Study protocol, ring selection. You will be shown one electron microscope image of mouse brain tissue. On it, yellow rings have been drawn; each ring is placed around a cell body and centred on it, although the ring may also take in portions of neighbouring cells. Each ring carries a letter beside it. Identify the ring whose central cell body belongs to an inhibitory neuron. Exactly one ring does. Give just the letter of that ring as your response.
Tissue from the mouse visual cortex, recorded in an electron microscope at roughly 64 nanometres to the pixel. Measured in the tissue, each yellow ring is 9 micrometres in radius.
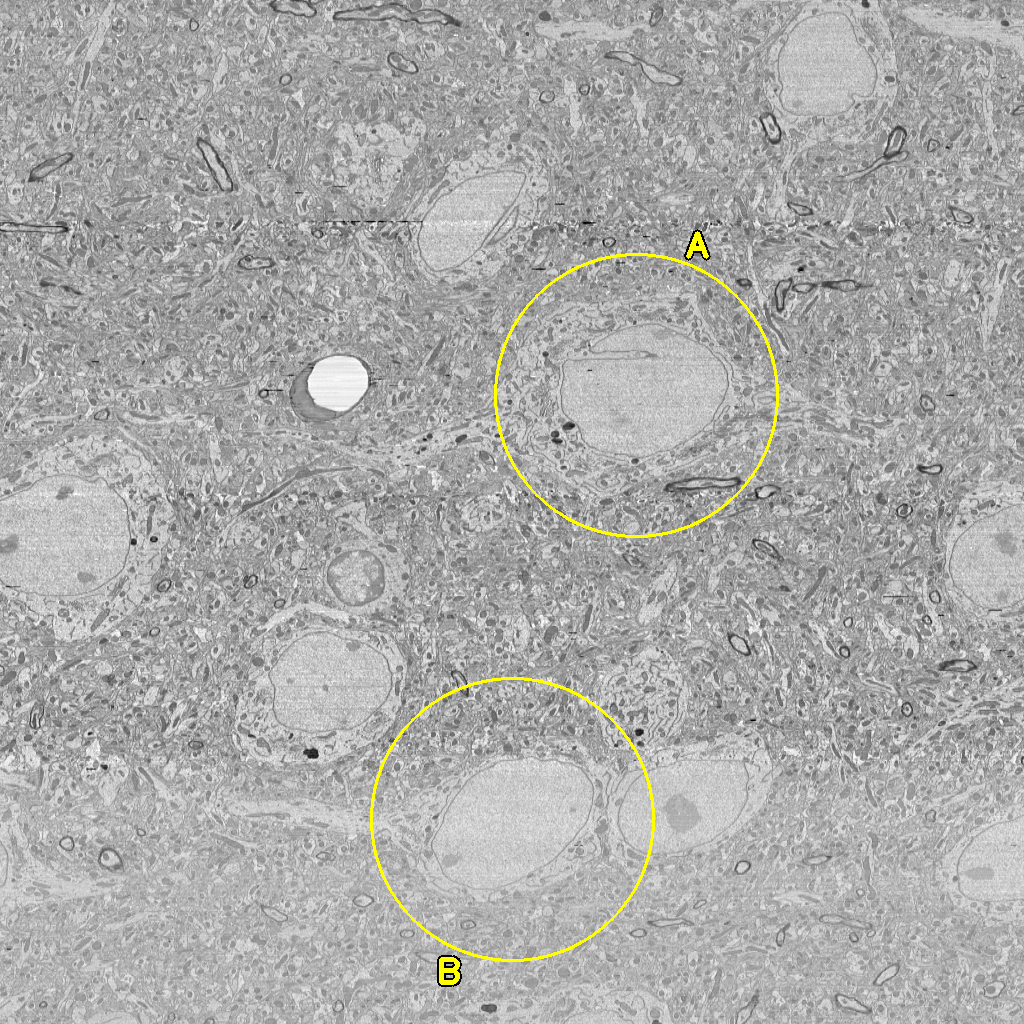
A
